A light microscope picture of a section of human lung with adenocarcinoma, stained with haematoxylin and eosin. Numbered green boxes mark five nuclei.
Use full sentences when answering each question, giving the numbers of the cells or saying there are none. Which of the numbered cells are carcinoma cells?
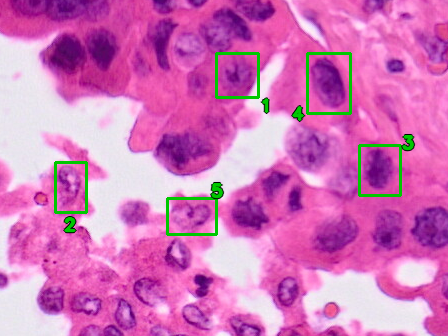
In short, the numbered cells 1, 3 and 4 are carcinoma cells.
